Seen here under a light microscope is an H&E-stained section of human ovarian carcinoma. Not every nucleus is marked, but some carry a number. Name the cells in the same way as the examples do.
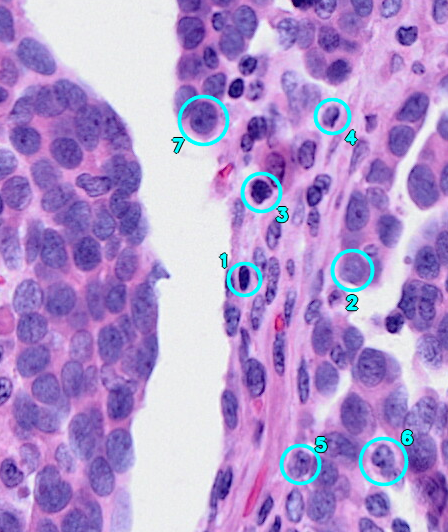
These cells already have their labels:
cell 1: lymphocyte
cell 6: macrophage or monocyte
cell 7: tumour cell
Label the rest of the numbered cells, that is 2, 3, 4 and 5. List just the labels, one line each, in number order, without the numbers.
tumour cell
lymphocyte
lymphocyte
macrophage or monocyte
